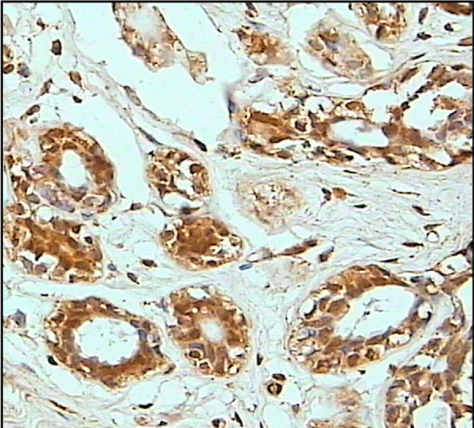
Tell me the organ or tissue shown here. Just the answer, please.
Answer: Normal breast epithelial tissue.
